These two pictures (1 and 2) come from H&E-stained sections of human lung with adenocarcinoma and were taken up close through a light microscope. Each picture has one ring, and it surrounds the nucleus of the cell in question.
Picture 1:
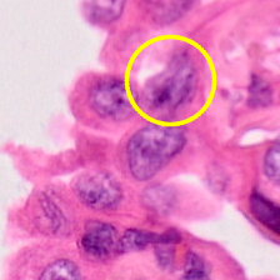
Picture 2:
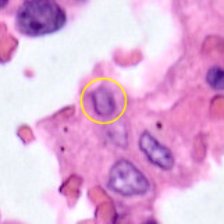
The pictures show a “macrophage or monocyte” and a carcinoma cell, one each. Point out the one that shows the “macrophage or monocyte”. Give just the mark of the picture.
2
